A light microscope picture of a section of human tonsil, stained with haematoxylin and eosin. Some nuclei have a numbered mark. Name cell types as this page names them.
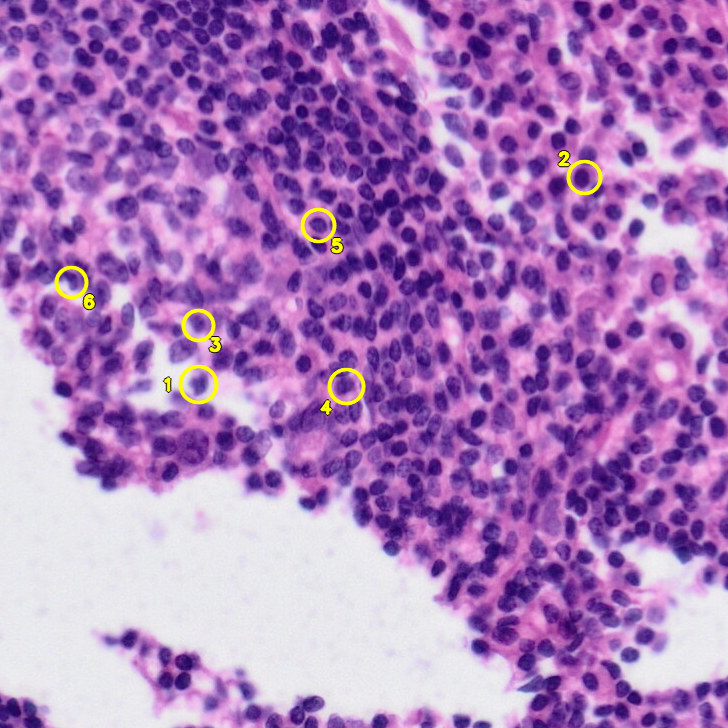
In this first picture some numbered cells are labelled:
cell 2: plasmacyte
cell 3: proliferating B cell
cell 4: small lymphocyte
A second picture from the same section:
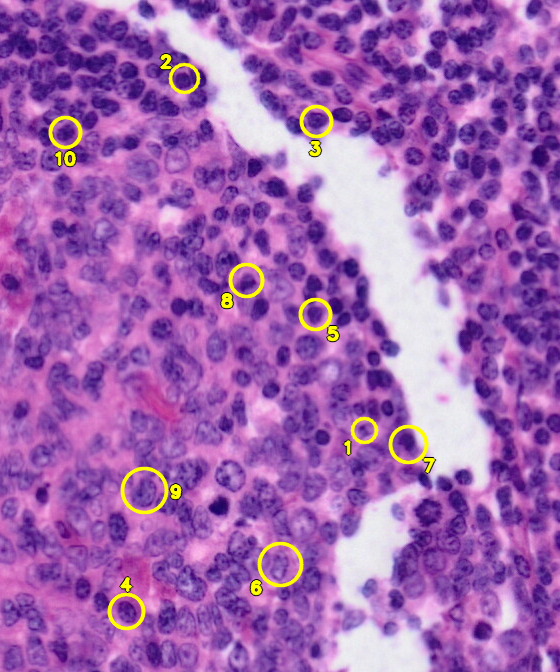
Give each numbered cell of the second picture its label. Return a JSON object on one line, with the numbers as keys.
{"1": "proliferating B cell", "2": "small lymphocyte", "3": "small lymphocyte", "4": "plasmacyte", "5": "small lymphocyte", "6": "proliferating B cell", "7": "proliferating B cell", "8": "proliferating B cell", "9": "proliferating B cell", "10": "small lymphocyte"}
